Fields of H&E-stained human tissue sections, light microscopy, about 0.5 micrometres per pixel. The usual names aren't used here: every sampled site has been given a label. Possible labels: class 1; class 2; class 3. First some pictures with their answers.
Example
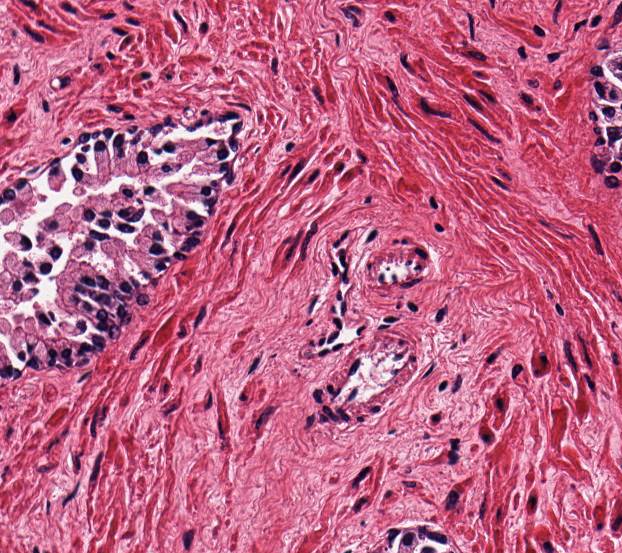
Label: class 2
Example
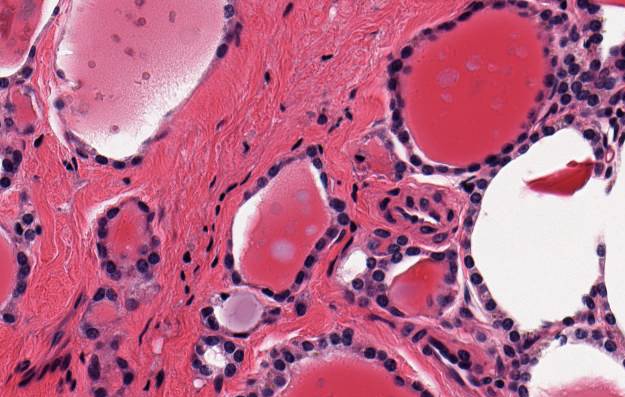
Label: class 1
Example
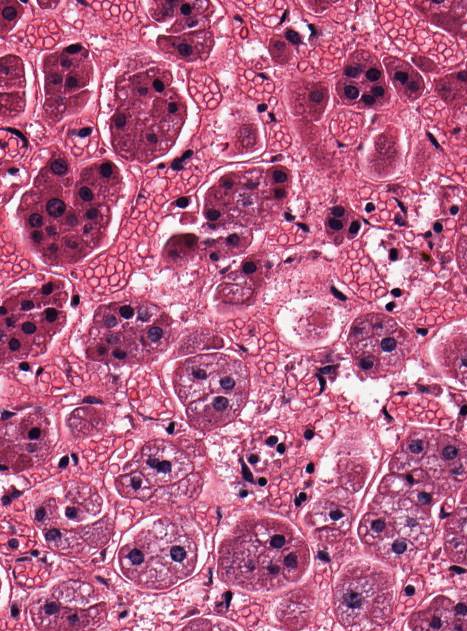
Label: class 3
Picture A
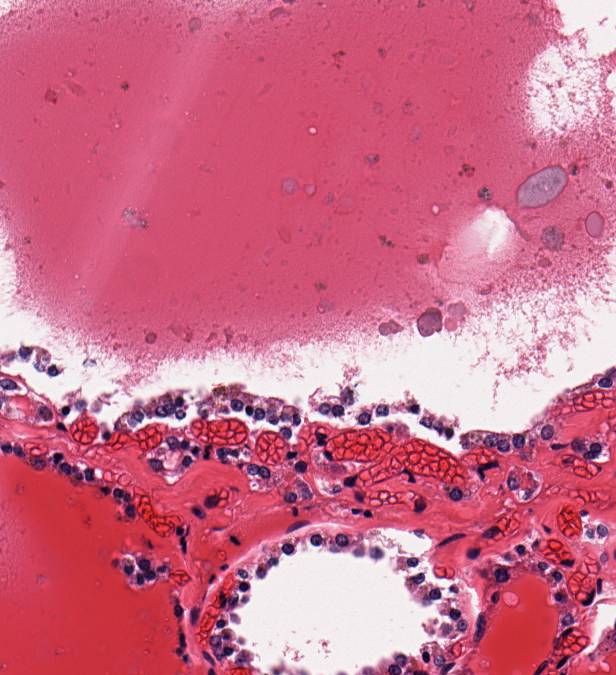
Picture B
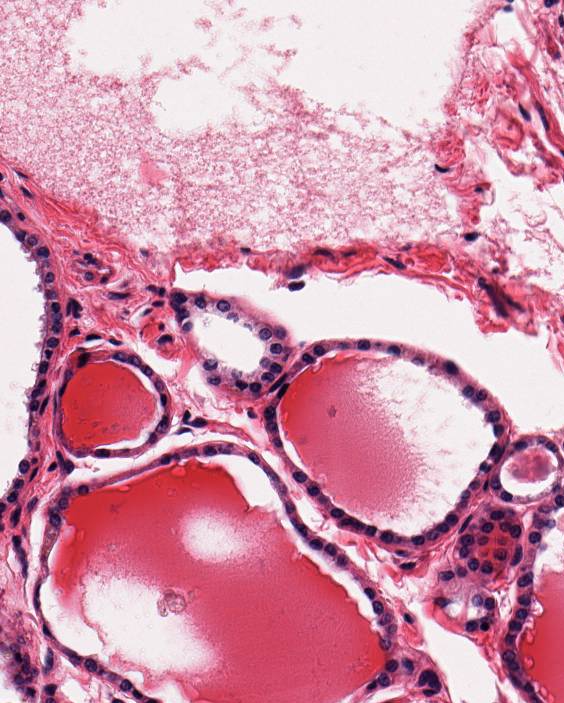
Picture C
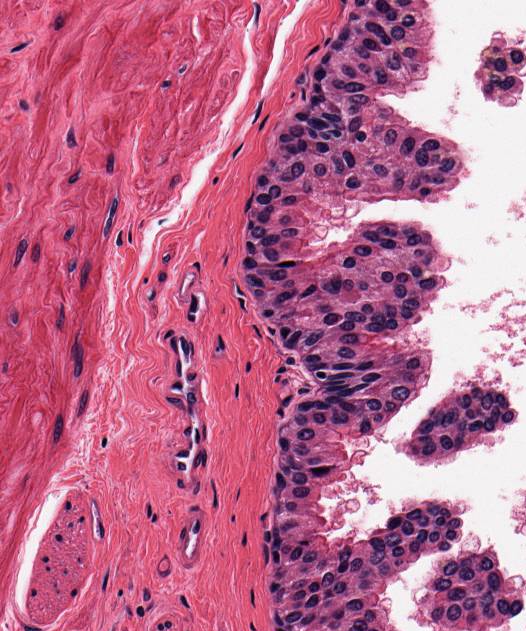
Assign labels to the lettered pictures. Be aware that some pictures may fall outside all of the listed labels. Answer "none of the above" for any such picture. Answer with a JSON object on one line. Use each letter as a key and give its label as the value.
{"A": "class 1", "B": "class 1", "C": "class 2"}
